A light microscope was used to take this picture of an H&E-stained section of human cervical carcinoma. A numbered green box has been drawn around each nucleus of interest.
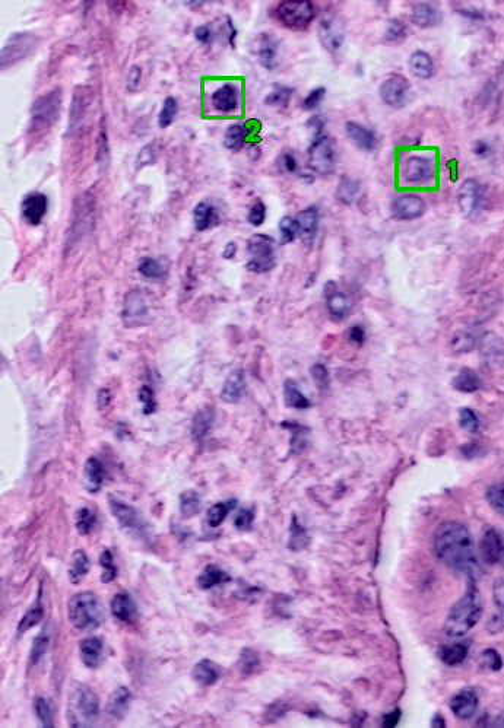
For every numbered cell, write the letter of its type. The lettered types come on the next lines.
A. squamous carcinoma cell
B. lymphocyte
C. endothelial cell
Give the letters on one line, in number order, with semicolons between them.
C; B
